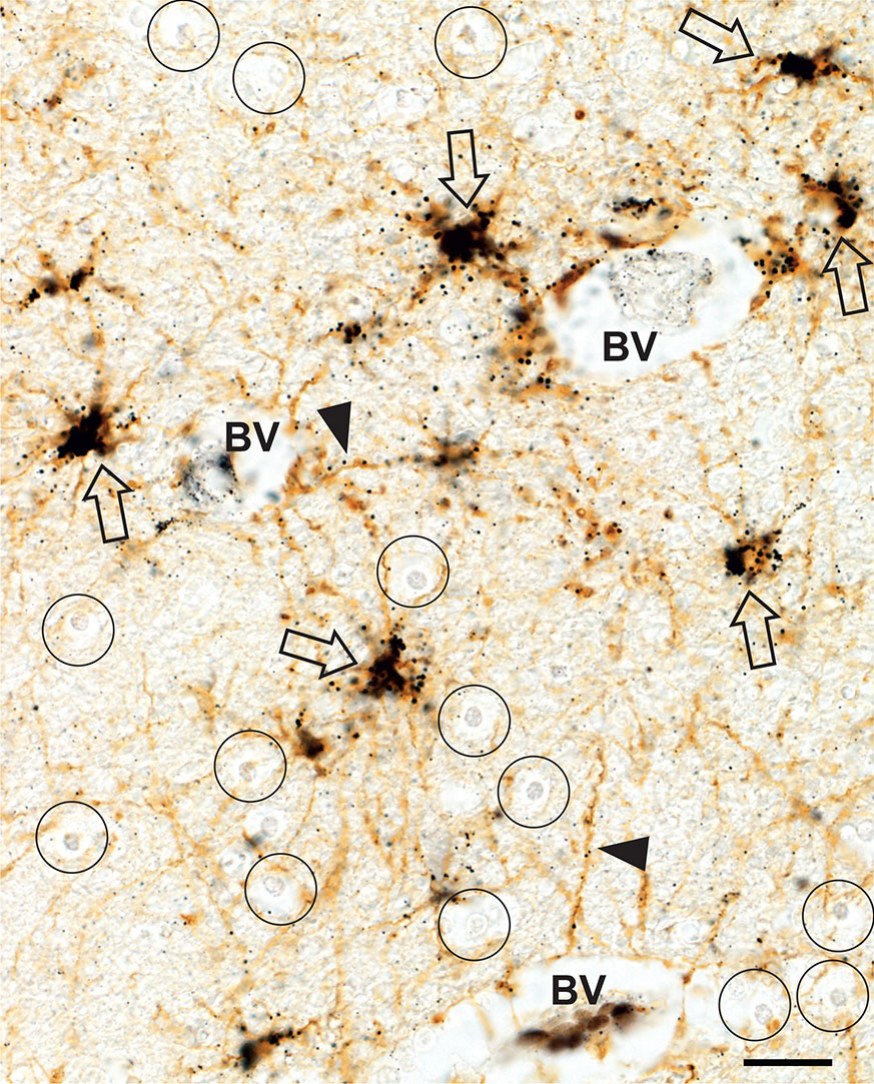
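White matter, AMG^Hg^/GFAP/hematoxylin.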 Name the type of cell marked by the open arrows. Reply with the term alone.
Fibrous astrocytes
